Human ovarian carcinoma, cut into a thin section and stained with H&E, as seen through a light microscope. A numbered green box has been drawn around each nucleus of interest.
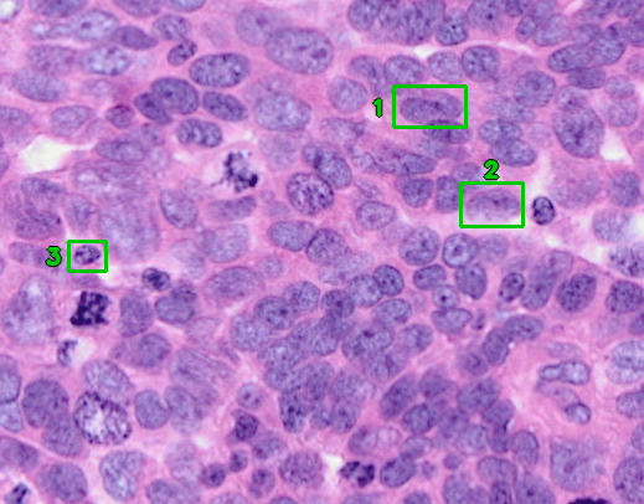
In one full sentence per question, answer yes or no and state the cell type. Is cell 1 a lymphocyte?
No, the cell identified by number 1 is a carcinoma cell, not a lymphocyte.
